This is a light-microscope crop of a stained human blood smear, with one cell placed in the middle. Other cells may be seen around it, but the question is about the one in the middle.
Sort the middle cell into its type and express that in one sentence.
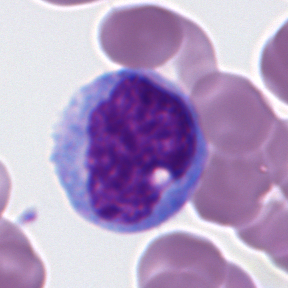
Framed in the middle of the crop is a monocyte.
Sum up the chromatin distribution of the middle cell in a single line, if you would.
Take a look at the chromatin, which is coarsely clumped.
